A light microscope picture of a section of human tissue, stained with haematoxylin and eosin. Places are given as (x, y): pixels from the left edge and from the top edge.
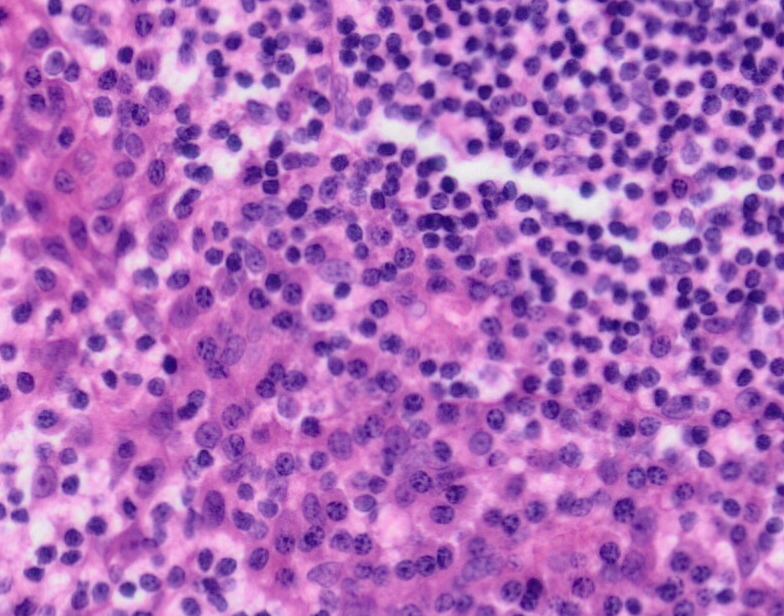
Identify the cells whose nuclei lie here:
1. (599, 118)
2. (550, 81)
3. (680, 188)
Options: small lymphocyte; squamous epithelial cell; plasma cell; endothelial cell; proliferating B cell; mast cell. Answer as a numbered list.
1. small lymphocyte
2. small lymphocyte
3. plasma cell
